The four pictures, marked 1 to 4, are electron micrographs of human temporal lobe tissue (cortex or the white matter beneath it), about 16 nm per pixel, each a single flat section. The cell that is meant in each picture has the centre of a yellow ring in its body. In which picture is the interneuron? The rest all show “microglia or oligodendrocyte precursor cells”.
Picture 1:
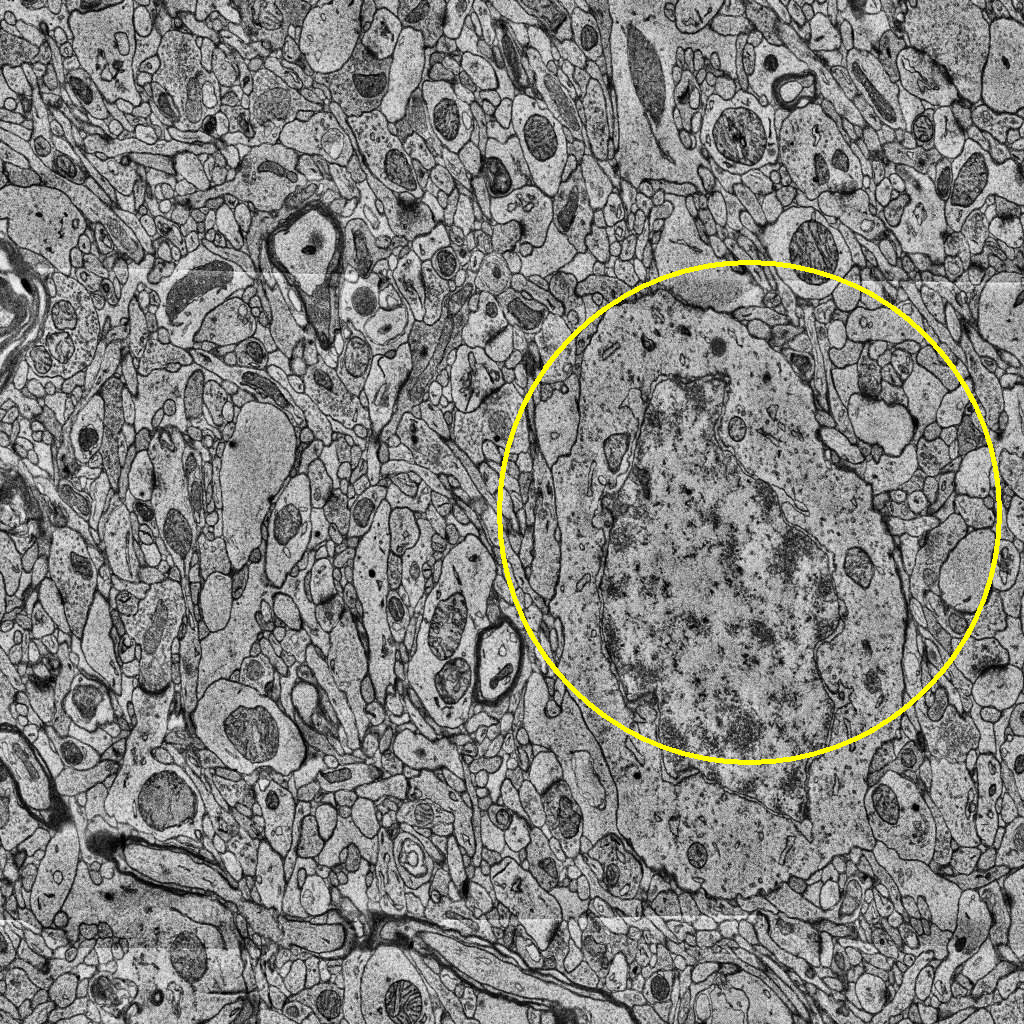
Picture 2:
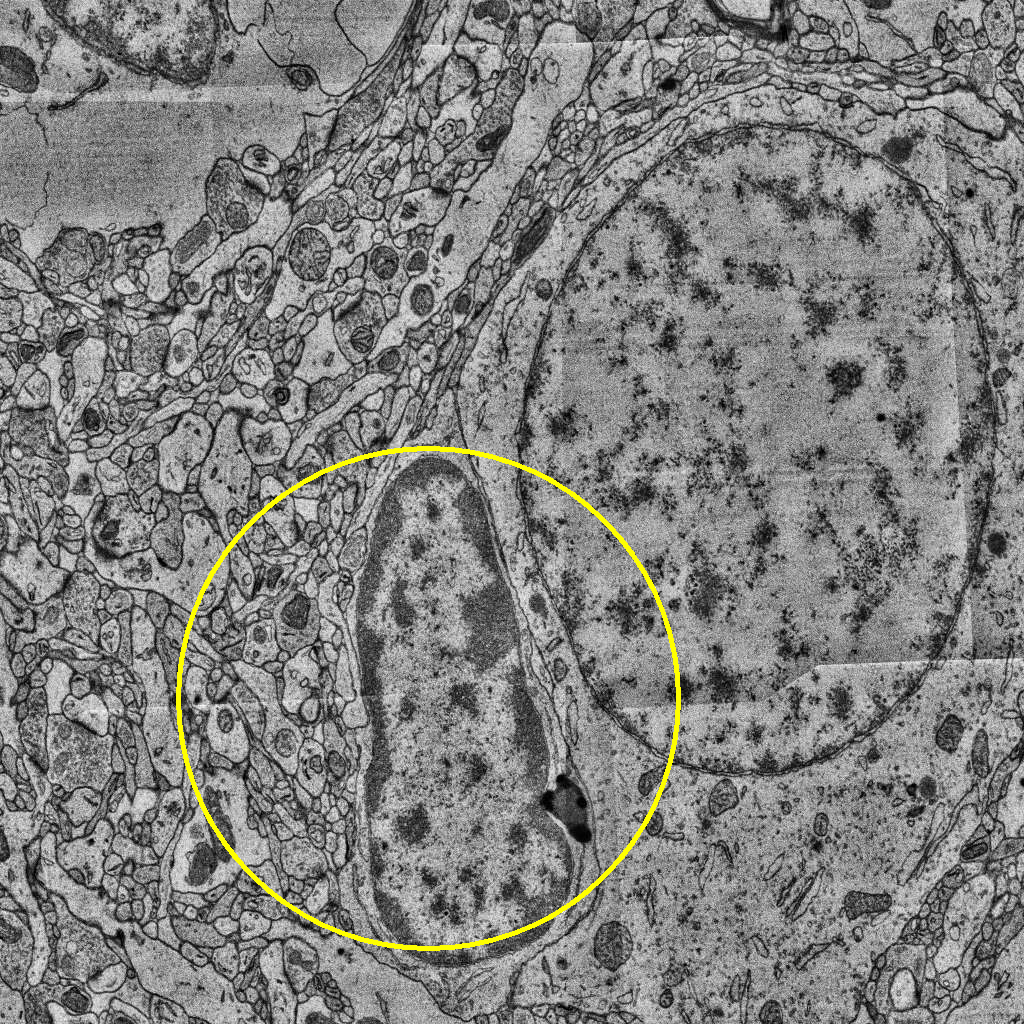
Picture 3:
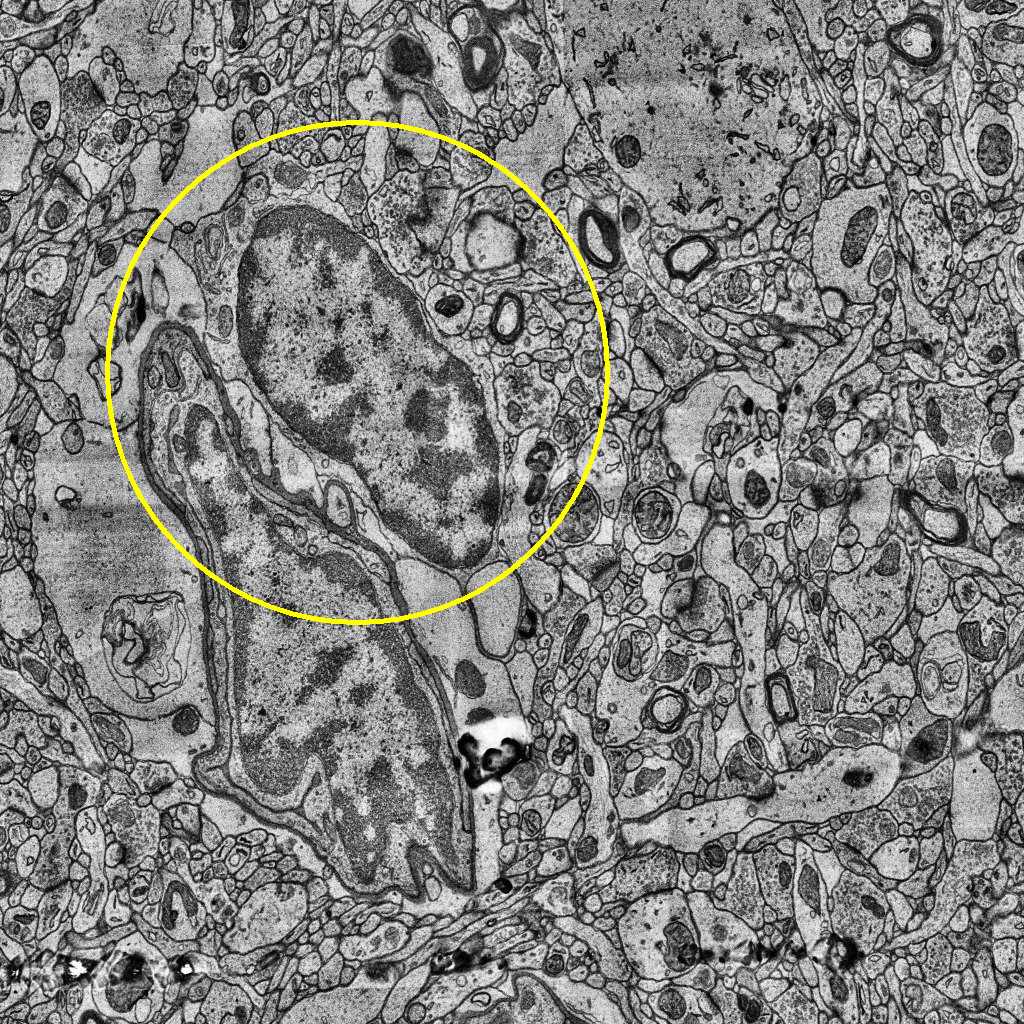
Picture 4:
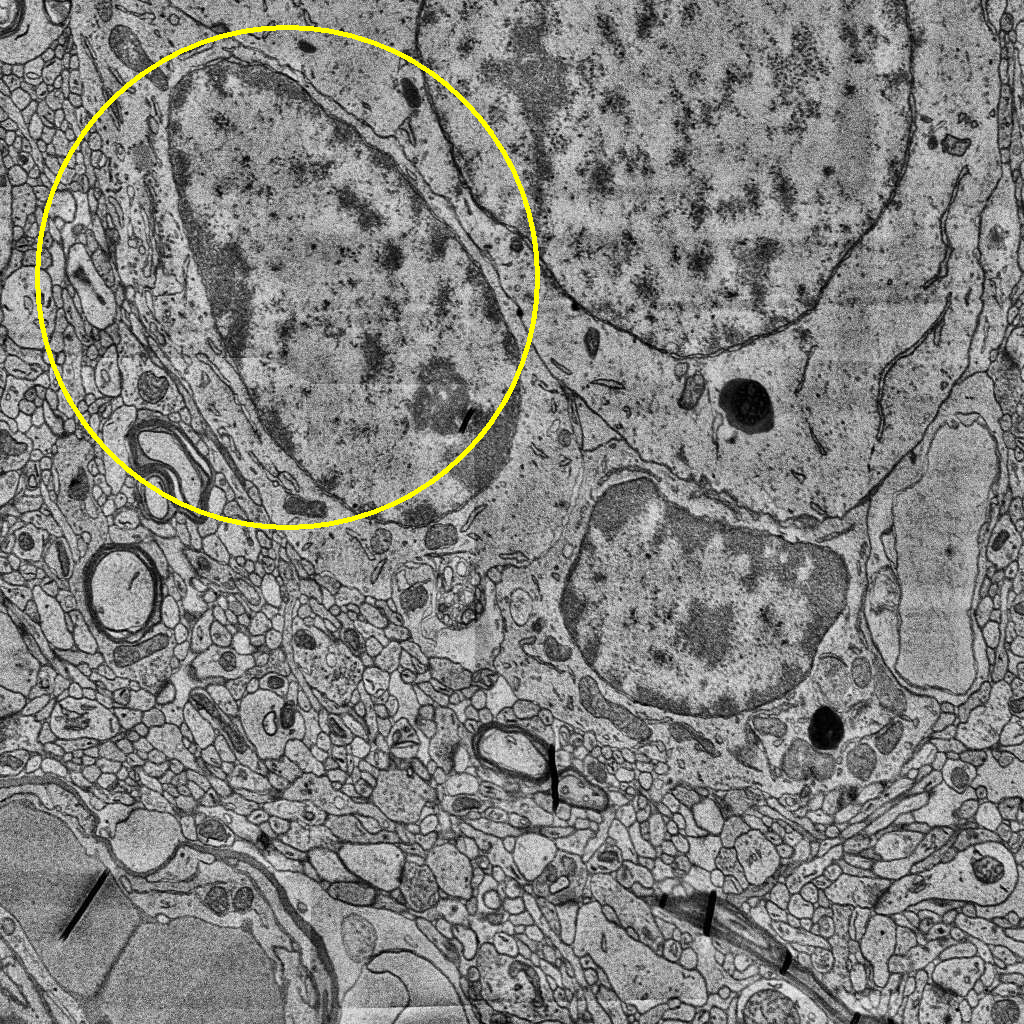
The cell in picture 1 is the interneuron.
